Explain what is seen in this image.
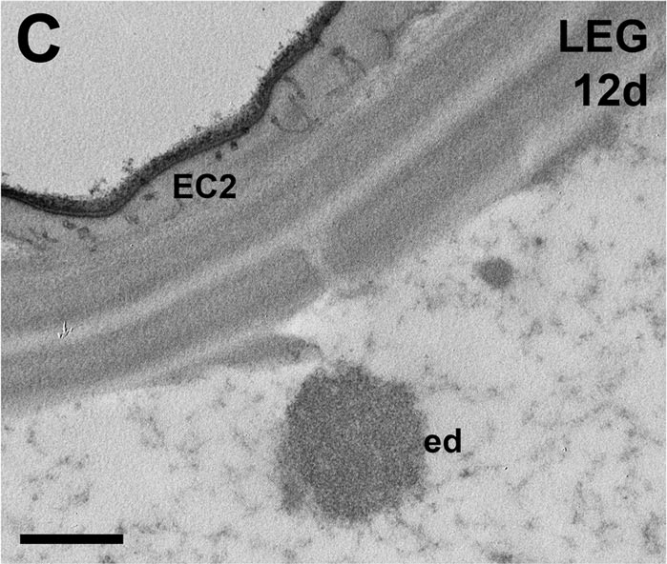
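Diagonally across the upper left runs a thick, layered cuticle with several parallel bands of grey density, bordered on its outer side by a thin, very dark line. Below it lies a pale, finely fibrillar space in which sits a rounded, compact droplet of fairly uniform medium grey density with a slightly fuzzy edge; a much smaller dense round body lies nearby. No cell nuclei are visible in this field.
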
